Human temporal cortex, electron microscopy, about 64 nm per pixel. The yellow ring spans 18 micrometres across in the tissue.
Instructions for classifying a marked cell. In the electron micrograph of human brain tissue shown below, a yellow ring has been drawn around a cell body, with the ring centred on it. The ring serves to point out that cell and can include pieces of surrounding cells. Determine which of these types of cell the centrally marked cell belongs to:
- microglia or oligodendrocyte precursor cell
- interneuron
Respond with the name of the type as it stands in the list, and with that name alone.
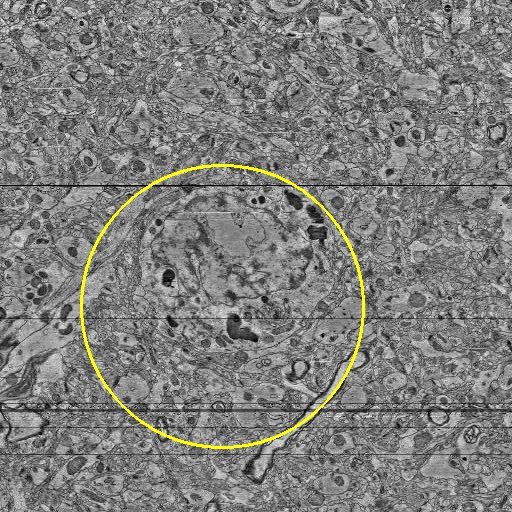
interneuron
